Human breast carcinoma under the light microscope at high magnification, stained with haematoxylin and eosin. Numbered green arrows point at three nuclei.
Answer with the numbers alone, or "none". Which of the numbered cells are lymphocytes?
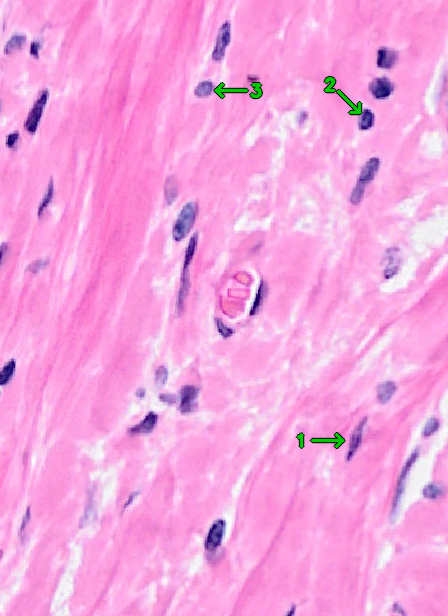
2, 3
